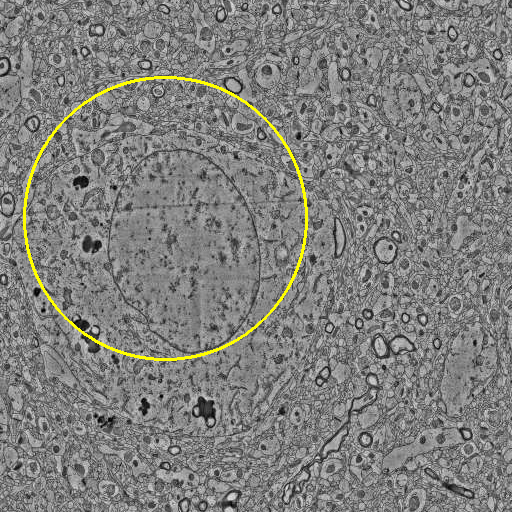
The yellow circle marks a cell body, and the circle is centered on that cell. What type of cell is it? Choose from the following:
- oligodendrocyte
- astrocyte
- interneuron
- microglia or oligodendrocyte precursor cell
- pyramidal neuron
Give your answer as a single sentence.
This cell body belongs to a pyramidal neuron.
